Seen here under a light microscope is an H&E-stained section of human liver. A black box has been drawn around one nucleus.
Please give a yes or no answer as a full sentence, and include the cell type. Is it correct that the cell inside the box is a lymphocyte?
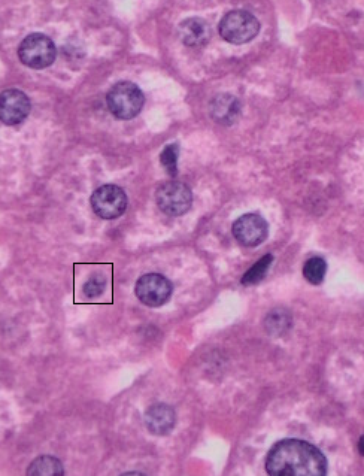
Yes, within this tissue section, the cell inside the box is a lymphocyte.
